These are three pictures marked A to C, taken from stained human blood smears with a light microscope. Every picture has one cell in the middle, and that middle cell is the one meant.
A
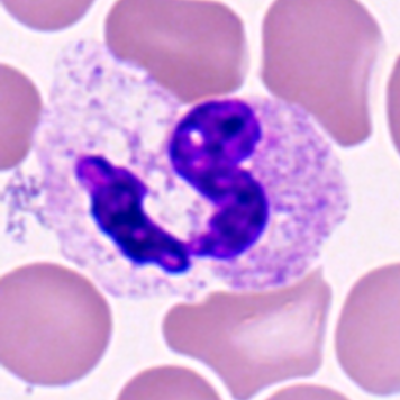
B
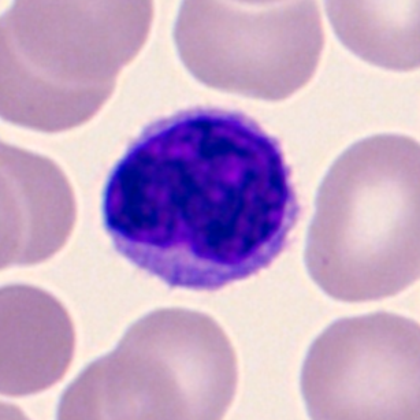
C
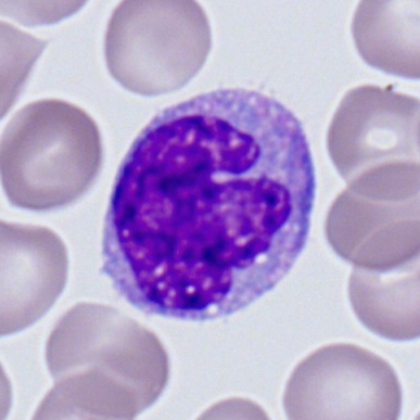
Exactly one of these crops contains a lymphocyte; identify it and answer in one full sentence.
Crop B alone, of all the crops, shows a lymphocyte.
